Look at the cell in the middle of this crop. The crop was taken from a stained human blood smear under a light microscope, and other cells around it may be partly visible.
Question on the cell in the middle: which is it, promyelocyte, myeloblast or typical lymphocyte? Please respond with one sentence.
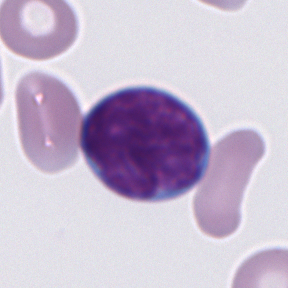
The centrally positioned cell in the crop represents a typical lymphocyte.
